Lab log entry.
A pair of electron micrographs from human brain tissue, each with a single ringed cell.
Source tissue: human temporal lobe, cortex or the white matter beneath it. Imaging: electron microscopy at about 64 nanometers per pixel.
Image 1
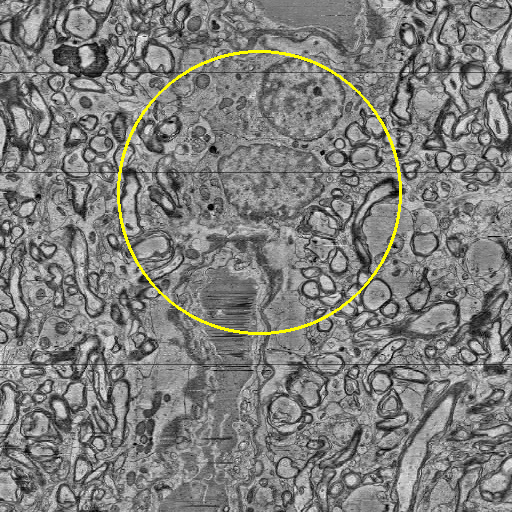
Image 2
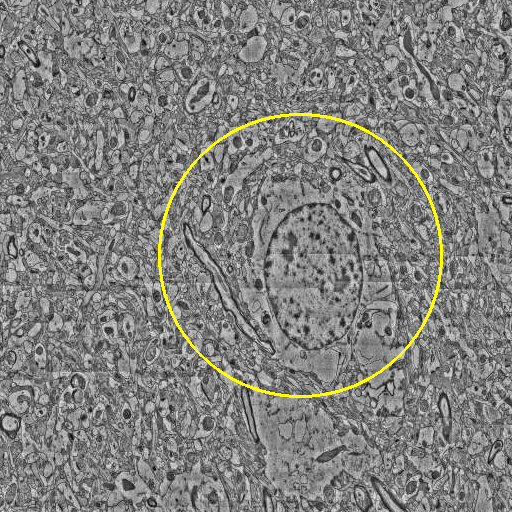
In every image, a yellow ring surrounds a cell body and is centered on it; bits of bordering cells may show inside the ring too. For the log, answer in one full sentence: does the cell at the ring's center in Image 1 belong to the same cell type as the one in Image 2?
No, the cells at the ring centers in Image 1 and Image 2 are of separate types.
